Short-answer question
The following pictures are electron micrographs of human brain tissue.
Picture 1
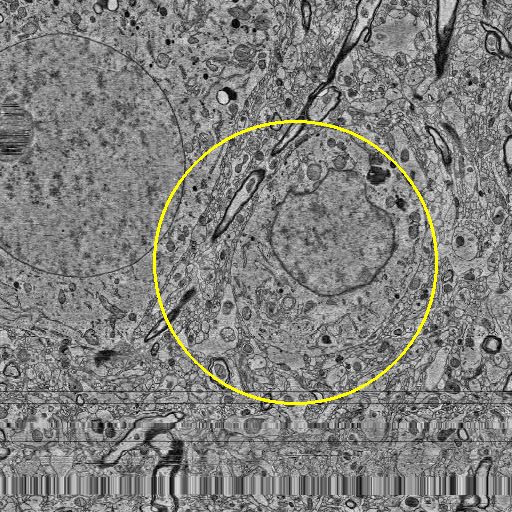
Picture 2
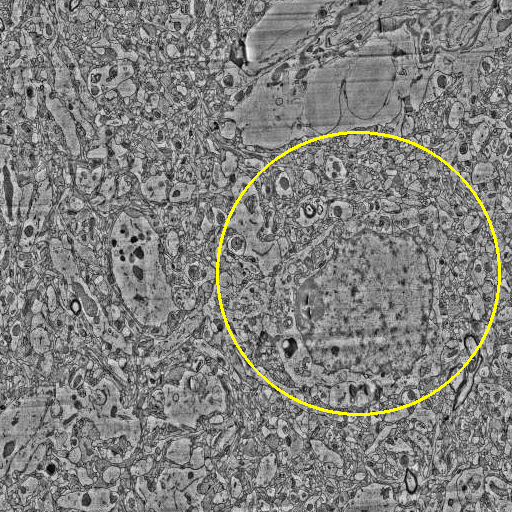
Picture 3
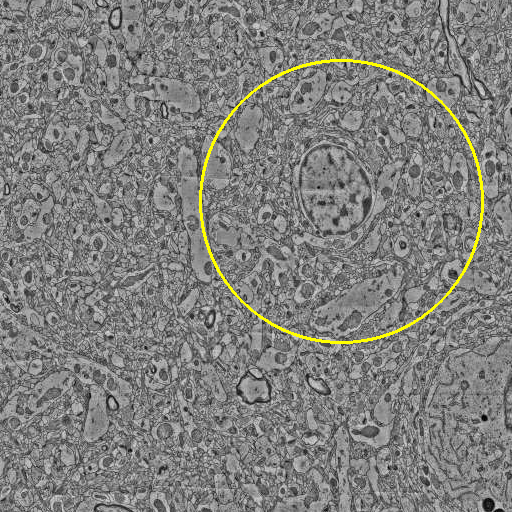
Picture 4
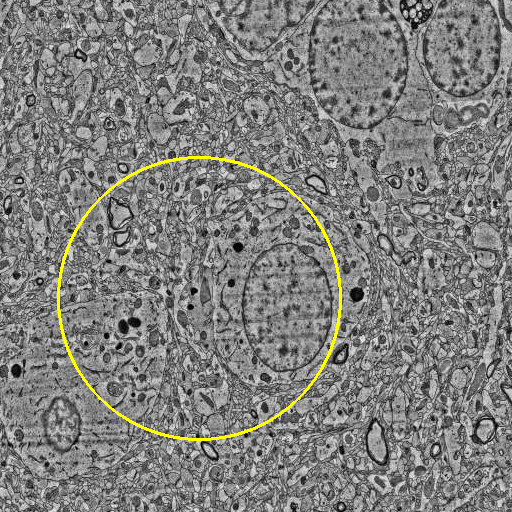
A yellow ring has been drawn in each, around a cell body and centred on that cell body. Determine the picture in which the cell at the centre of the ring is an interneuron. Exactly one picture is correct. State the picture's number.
2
